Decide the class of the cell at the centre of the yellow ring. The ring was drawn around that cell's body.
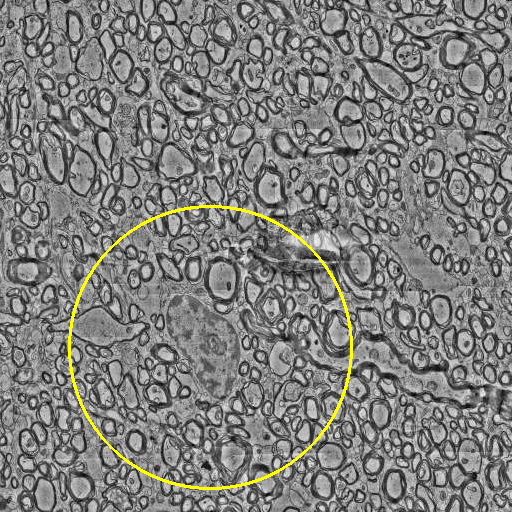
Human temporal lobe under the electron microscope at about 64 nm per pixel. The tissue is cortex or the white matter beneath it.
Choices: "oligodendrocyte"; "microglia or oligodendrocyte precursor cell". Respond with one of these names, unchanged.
microglia or oligodendrocyte precursor cell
